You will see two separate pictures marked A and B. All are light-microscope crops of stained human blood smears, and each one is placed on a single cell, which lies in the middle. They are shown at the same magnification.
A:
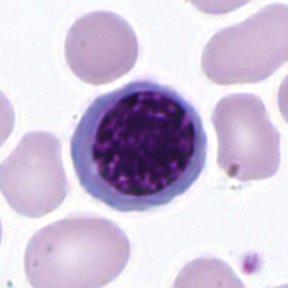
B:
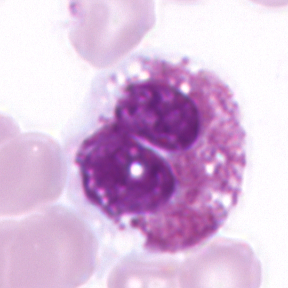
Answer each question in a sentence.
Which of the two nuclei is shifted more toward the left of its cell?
It is the nucleus in picture B that lies further toward the left of its cell.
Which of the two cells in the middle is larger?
It is the cell in picture B, about 1.5 times as large in area as the cell in picture A.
